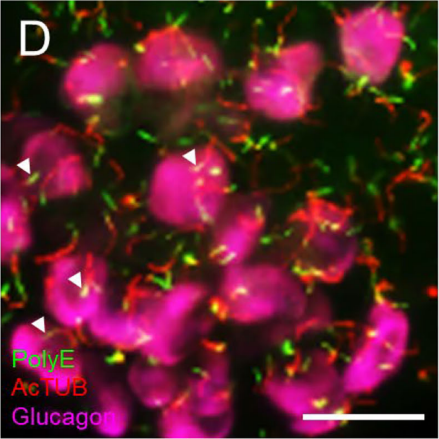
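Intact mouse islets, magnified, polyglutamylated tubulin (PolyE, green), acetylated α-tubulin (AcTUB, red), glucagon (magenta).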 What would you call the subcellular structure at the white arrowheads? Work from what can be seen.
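Proximal segment of cilia. Arrowheads point to short bright yellow-green segments. These segments lie at one end of longer thin red rods.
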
